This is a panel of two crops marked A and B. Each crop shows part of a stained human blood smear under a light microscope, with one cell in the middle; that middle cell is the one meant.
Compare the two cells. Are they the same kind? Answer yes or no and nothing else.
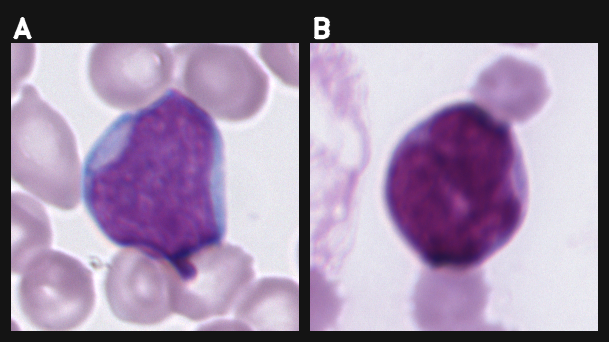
yes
